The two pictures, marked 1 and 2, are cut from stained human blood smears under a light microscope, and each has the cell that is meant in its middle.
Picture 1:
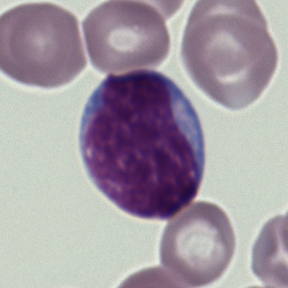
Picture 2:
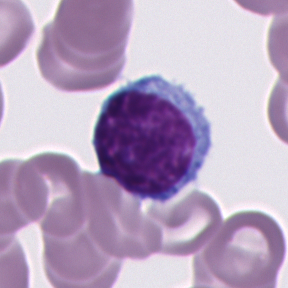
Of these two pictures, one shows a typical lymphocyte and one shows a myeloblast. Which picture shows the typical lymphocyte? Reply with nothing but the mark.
2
